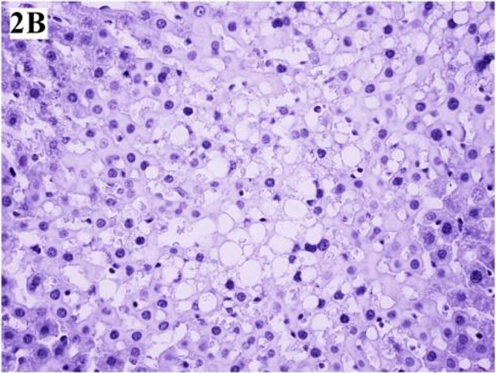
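This is liver parenchyma in which many clear, round, empty vacuoles of fat infiltration lie among the liver cells. The vacuoles vary from small droplets to spaces larger than a cell and cluster most densely in the centre of the field. Around them the liver cells are polygonal with pale violet cytoplasm, but their orderly plates are partly replaced and obscured. Many nuclei are small and dark, with condensed chromatin, while others remain round with a visible nucleolus. The regular sinusoidal pattern of normal liver is lost where the vacuoles gather.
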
